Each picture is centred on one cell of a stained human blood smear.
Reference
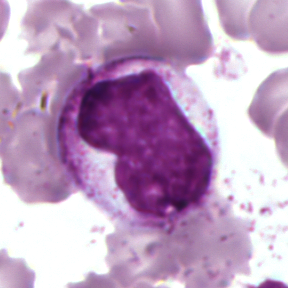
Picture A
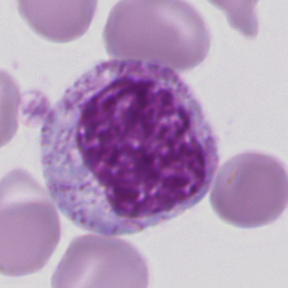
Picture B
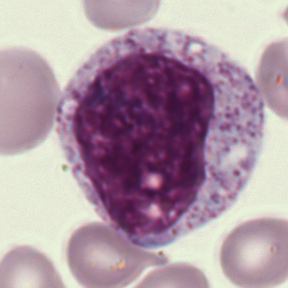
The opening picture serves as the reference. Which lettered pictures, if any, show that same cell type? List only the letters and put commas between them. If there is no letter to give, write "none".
none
